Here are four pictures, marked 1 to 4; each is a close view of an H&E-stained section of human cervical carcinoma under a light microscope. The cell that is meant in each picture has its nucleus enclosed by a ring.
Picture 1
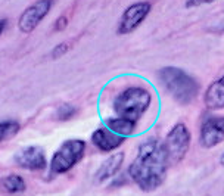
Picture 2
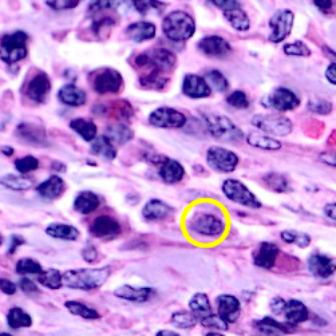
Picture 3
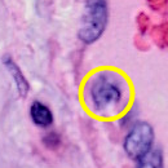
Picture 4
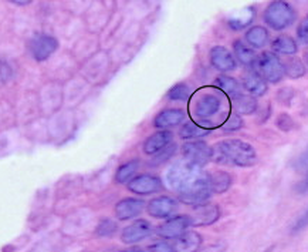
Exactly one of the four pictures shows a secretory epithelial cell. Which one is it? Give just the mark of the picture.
4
